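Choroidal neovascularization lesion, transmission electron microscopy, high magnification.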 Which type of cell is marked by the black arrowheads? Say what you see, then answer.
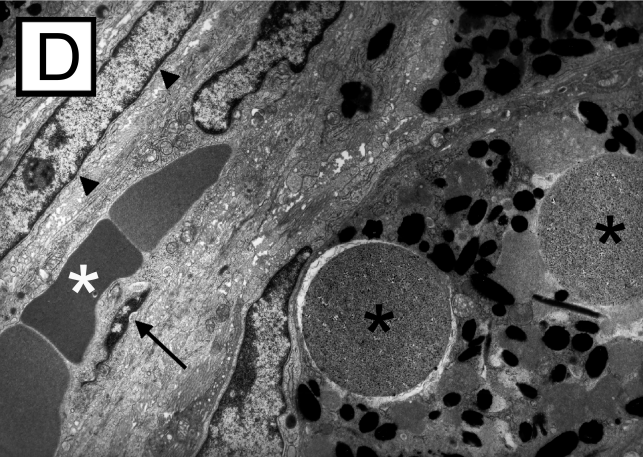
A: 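Spindle-shaped fibroblast. Long, narrow cells with elongated nuclei. Cells lie in parallel bundles without pigment granules.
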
